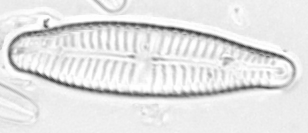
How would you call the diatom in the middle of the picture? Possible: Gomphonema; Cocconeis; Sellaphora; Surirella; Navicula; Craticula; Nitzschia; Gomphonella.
I would call it Gomphonema.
